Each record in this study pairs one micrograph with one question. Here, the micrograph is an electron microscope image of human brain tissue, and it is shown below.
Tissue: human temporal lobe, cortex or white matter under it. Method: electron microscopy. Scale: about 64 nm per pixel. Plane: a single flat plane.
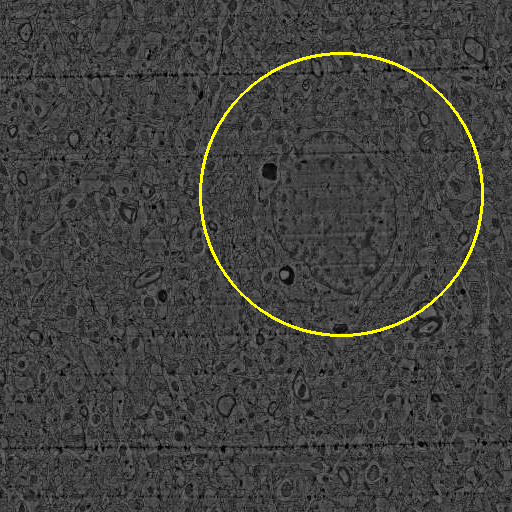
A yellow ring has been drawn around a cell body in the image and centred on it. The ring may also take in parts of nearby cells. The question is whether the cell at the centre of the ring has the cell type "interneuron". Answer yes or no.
yes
